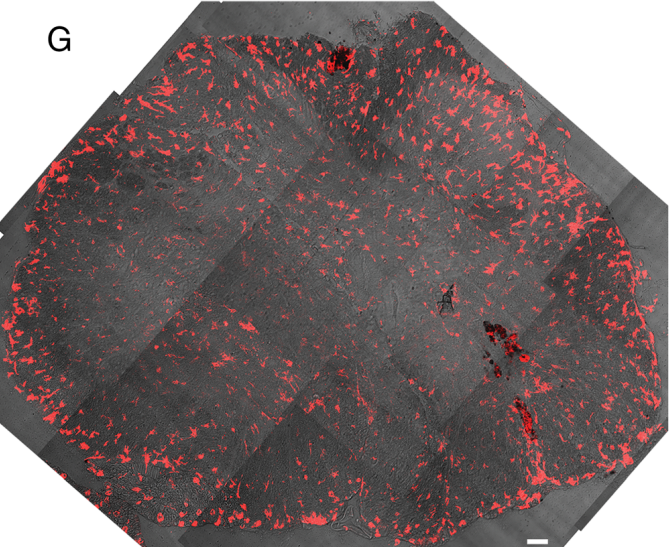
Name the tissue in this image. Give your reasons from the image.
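Spinal cord. A rounded, oval cross-section of a cord-like organ. Many small branched cells are scattered throughout the section.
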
